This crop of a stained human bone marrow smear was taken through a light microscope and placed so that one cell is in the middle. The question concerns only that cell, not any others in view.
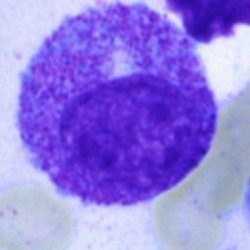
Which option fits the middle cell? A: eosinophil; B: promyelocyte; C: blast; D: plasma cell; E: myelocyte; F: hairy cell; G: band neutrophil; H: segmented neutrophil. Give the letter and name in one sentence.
The cell in the middle is correctly identified as a myelocyte in option E.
